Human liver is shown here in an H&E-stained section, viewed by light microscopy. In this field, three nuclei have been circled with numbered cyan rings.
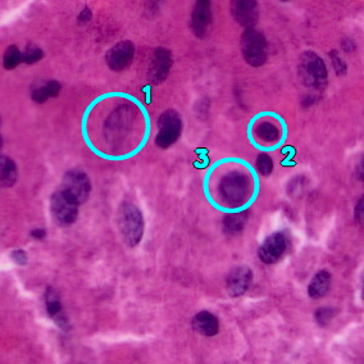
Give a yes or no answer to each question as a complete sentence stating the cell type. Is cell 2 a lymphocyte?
Yes, and to answer plainly, cell 2 is a lymphocyte.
